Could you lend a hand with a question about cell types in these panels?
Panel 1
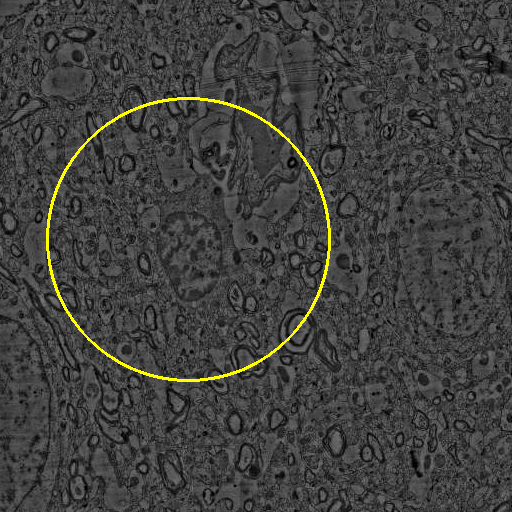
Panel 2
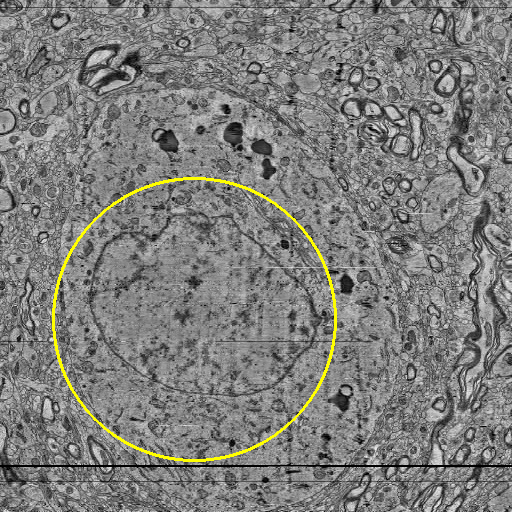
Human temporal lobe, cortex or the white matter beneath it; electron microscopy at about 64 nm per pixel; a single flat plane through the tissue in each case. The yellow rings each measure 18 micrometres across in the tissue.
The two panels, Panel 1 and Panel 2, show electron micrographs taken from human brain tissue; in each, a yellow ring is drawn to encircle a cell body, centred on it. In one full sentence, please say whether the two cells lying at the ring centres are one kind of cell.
No, the cells at the ring centres in the two panels are two kinds of cell.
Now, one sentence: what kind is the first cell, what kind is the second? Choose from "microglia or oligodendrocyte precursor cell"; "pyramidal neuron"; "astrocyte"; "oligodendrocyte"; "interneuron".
The first picture has an oligodendrocyte at its ring centre, and the second has a pyramidal neuron.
